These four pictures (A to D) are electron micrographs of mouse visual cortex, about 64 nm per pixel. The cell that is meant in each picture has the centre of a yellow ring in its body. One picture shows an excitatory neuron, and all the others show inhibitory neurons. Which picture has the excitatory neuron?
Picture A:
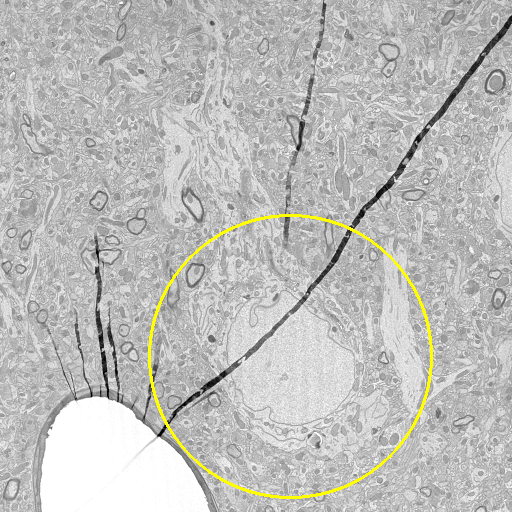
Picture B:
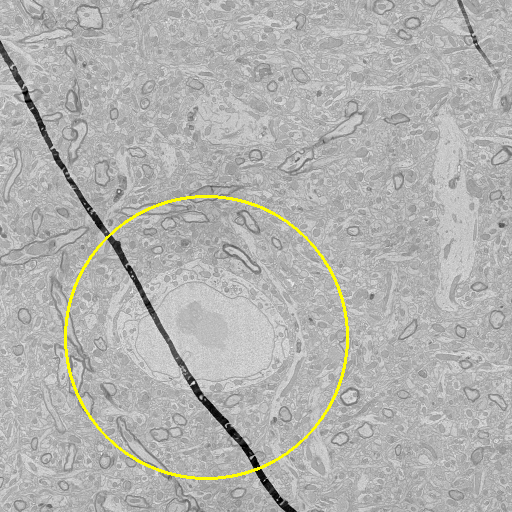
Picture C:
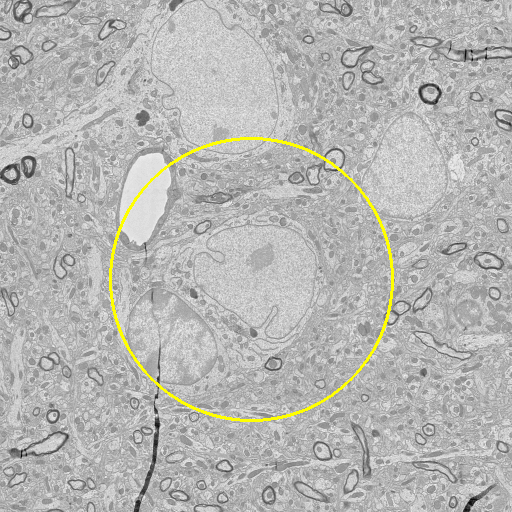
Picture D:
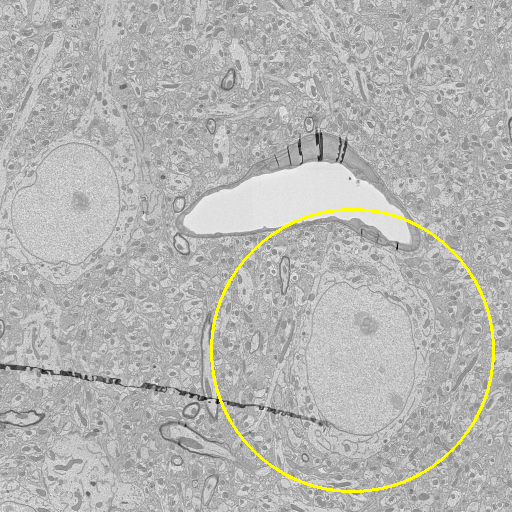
The picture with the excitatory neuron is D.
